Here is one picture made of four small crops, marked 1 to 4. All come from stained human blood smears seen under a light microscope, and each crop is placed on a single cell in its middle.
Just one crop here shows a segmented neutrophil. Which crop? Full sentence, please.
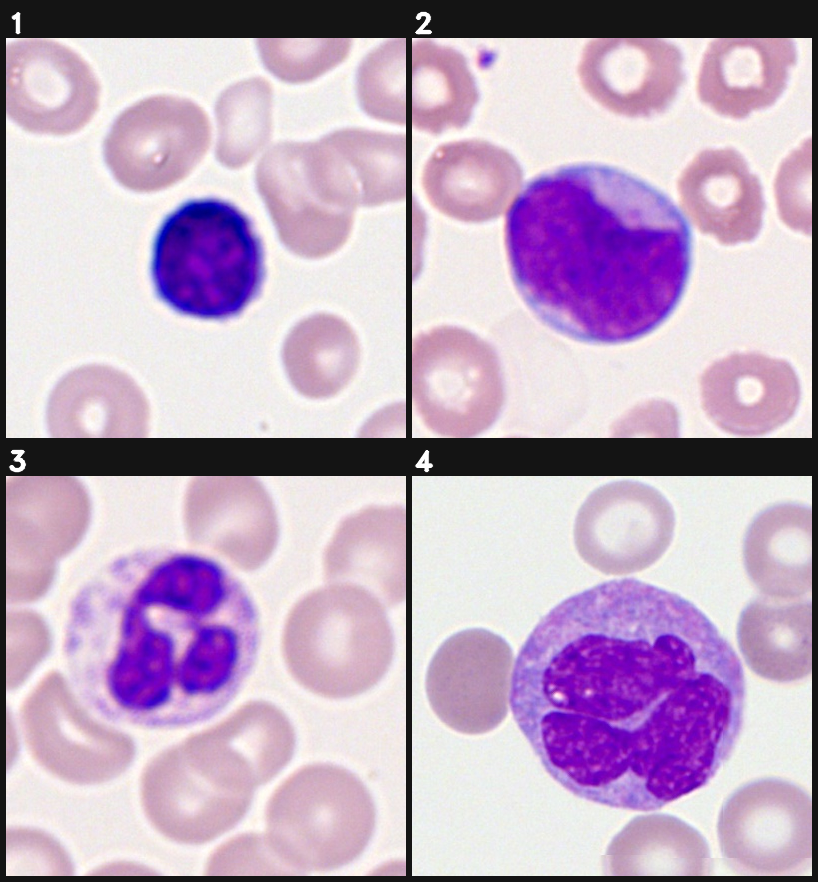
Crop 3 represents a segmented neutrophil, while the other crops do not.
